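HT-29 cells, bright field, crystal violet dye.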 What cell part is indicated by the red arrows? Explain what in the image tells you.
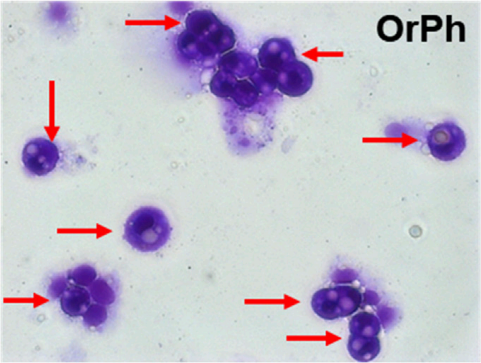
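Vacuoles. The marked cells are rounded and stained dark violet. Clear, round, unstained spaces lie inside the violet cytoplasm of the marked cells.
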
